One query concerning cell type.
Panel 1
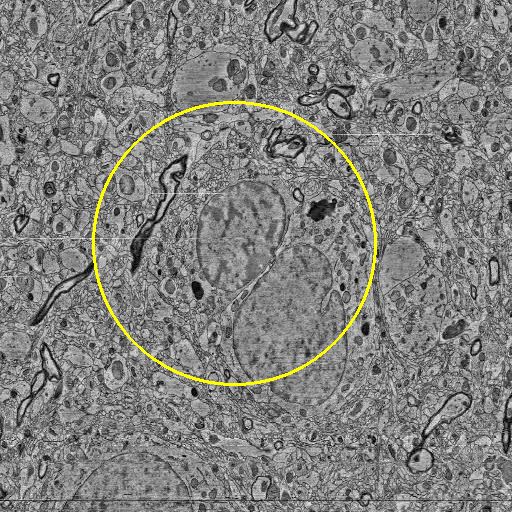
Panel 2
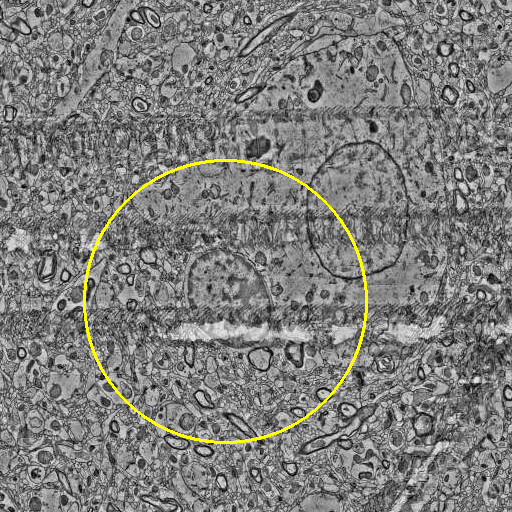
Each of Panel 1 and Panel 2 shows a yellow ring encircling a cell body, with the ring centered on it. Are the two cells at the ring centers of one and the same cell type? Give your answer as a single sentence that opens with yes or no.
Yes, the cell centered in Panel 1 and the one in Panel 2 share a type.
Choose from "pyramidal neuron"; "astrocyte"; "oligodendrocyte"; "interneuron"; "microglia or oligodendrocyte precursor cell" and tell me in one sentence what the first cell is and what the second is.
The second cell is an oligodendrocyte, just as the first is.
